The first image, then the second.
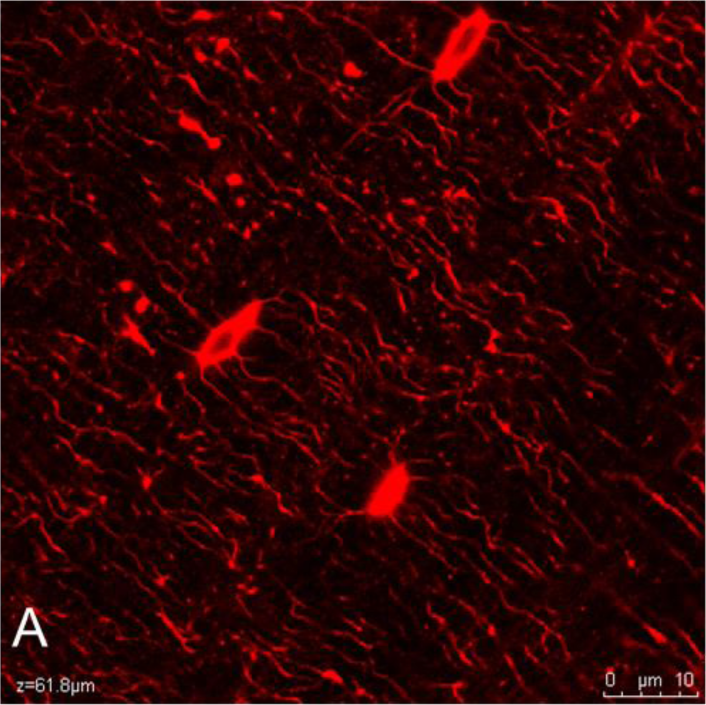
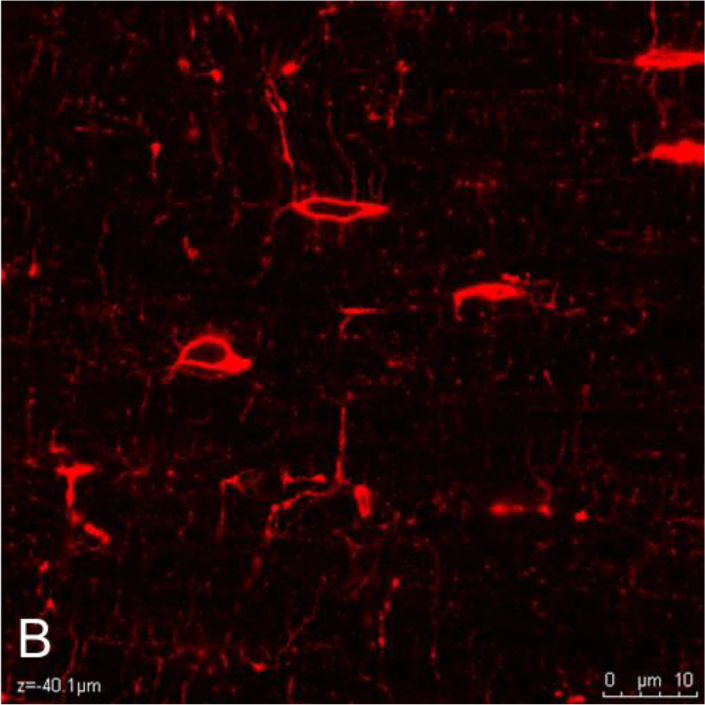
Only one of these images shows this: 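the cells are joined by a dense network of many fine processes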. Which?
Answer: The first image.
